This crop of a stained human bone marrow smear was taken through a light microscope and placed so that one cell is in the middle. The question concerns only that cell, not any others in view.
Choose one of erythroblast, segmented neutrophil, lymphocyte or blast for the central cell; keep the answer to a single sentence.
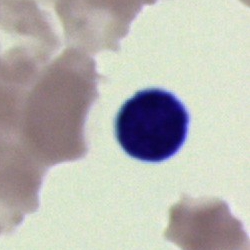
The cell centred in this crop is categorized as a lymphocyte.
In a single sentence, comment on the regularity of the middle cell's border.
Smooth outline, no projections: that is the whole story of its edge.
